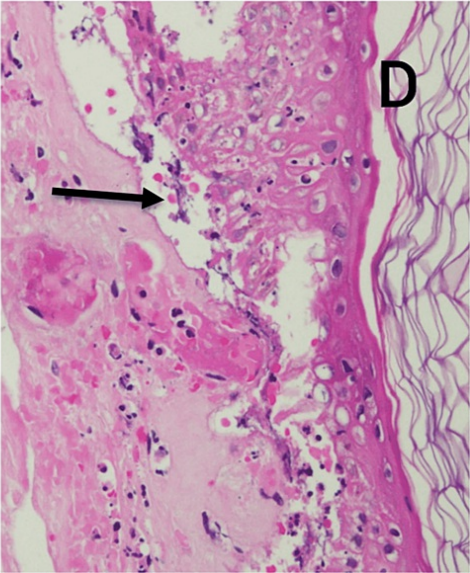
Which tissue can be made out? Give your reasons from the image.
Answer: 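A stratified squamous epithelium runs along one side. A basket-weave keratin layer lies on its outer surface. Dermal connective tissue lies on the other side. On this evidence: Skin.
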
